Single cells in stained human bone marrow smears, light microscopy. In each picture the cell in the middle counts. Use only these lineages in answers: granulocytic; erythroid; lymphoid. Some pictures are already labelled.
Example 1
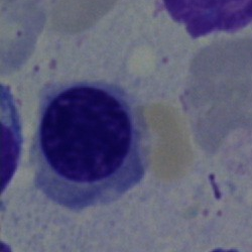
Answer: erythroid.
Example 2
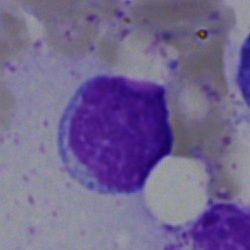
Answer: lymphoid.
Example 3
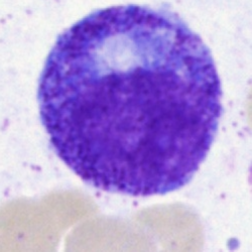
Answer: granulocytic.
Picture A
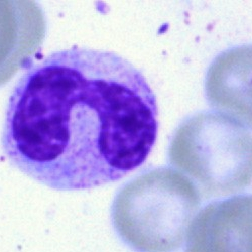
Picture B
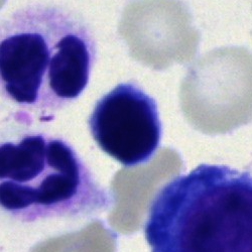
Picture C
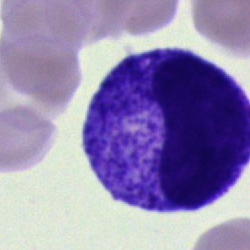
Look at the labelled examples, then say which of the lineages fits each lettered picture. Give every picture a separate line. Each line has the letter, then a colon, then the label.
A: granulocytic.
B: lymphoid.
C: granulocytic.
